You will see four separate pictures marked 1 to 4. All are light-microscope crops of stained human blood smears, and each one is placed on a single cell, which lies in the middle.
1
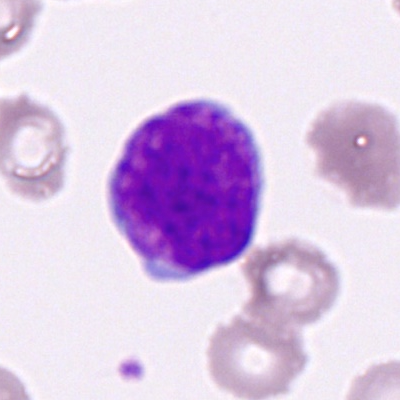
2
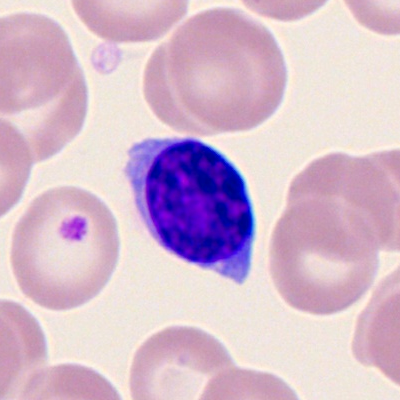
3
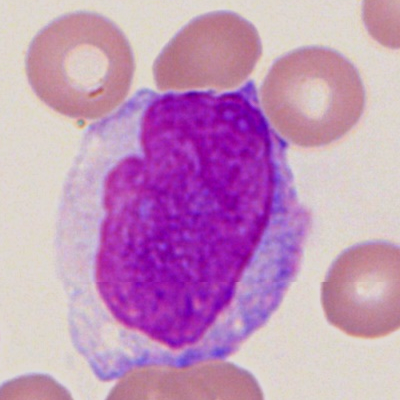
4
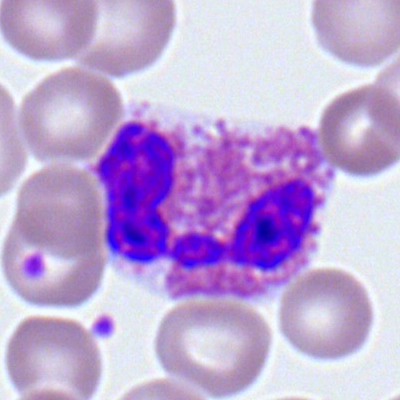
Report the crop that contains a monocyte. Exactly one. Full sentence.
It is in crop 3 that a monocyte is shown.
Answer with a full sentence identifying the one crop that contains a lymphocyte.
Crop 2 is the crop that shows a lymphocyte in its middle.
